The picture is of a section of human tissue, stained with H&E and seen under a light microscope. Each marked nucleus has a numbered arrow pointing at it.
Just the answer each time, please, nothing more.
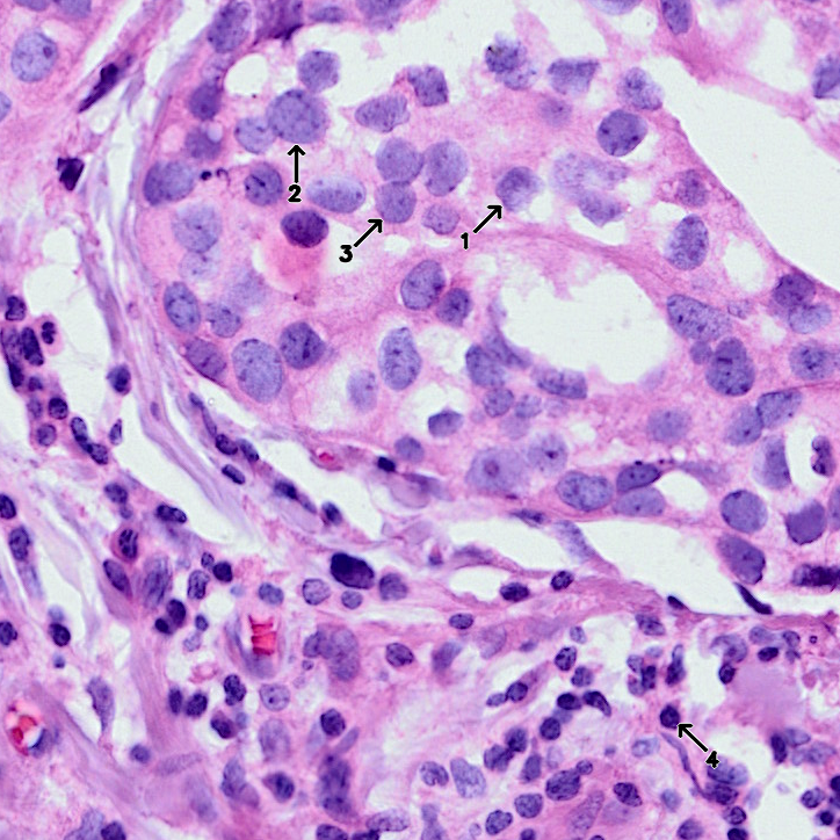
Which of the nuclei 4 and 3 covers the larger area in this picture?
3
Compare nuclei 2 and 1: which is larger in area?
2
